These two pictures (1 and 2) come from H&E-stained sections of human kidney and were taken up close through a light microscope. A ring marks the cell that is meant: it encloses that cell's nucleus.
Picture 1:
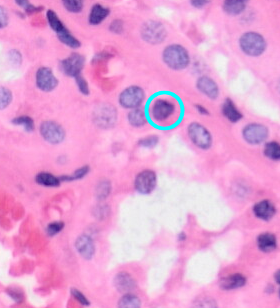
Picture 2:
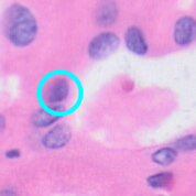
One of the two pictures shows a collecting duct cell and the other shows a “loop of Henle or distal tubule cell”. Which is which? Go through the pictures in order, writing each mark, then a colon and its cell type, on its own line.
1: loop of Henle or distal tubule cell
2: collecting duct cell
